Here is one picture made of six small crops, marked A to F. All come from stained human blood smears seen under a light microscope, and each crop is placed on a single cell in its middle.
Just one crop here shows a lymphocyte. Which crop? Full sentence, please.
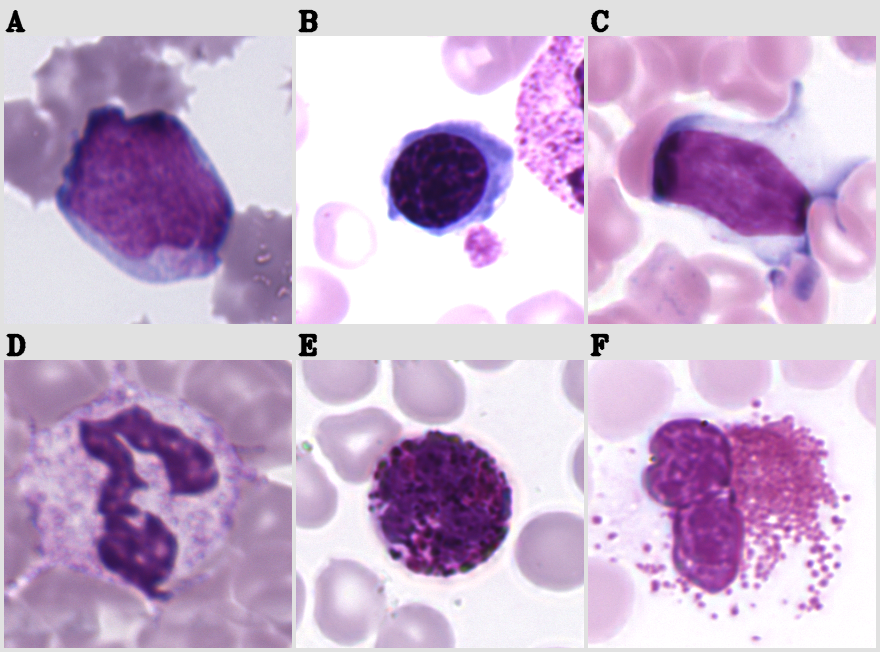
Crop C is the crop that displays a lymphocyte.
